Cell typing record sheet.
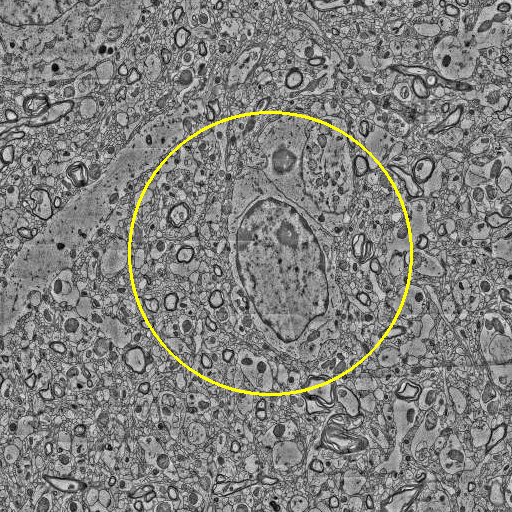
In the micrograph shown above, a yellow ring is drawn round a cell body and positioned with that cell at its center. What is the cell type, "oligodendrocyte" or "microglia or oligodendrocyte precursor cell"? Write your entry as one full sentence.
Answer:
The cell body at the center of the ring belongs to a microglial cell or oligodendrocyte precursor cell.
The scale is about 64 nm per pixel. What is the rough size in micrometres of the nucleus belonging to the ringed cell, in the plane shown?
The ringed cell's nucleus is roughly 9 by 6 micrometres and clearly longer than it is wide in this plane.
